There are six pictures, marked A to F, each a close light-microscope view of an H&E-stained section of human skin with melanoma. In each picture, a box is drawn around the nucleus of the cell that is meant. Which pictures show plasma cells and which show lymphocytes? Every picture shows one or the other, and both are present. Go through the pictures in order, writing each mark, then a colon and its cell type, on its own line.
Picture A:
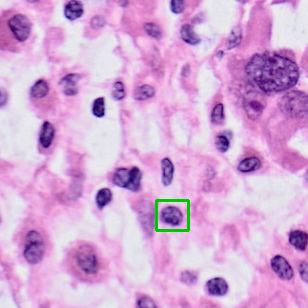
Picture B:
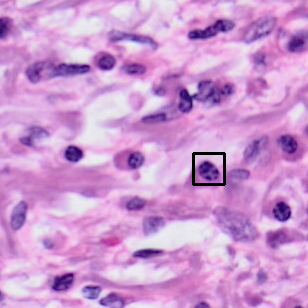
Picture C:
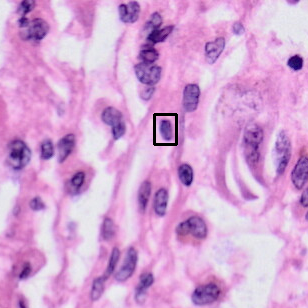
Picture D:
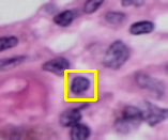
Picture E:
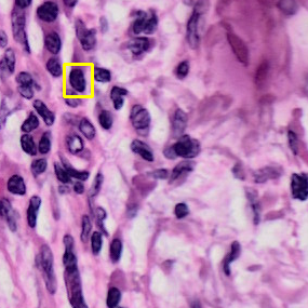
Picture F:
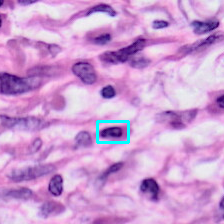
A: lymphocyte
B: plasma cell
C: lymphocyte
D: lymphocyte
E: plasma cell
F: plasma cell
